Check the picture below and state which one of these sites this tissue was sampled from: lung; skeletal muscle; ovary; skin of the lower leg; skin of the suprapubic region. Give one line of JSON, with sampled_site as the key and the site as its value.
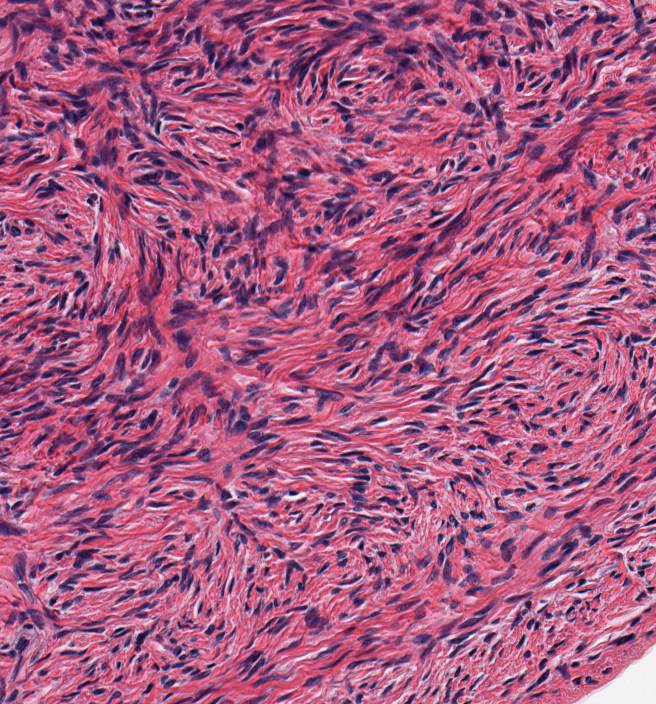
{"sampled_site": "ovary"}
